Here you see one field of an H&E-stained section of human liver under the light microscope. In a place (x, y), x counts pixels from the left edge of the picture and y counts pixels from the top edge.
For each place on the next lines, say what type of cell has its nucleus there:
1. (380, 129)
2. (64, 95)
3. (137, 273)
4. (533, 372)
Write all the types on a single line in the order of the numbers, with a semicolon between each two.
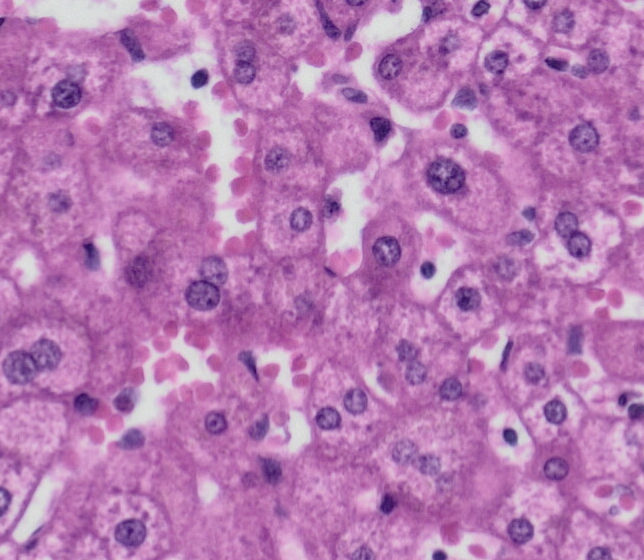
Kupffer cell; hepatocyte; hepatocyte; hepatocyte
